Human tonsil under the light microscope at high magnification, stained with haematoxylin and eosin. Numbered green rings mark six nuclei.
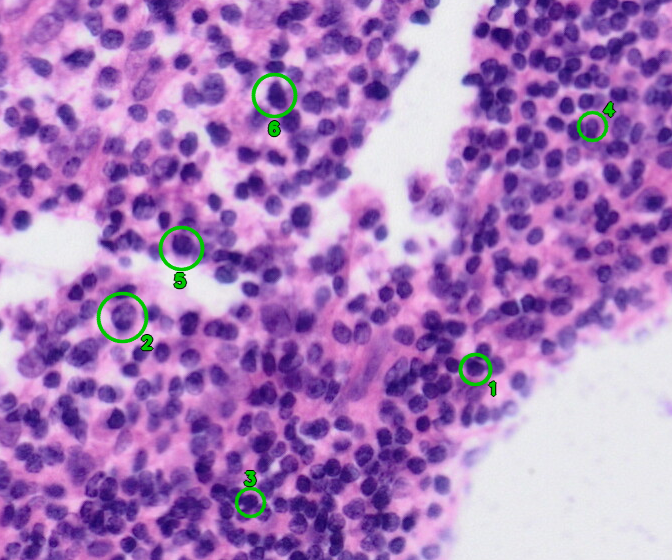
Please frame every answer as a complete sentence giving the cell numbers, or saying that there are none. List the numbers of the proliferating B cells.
Cells 2, 5 and 6 are classified as proliferating B cells.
